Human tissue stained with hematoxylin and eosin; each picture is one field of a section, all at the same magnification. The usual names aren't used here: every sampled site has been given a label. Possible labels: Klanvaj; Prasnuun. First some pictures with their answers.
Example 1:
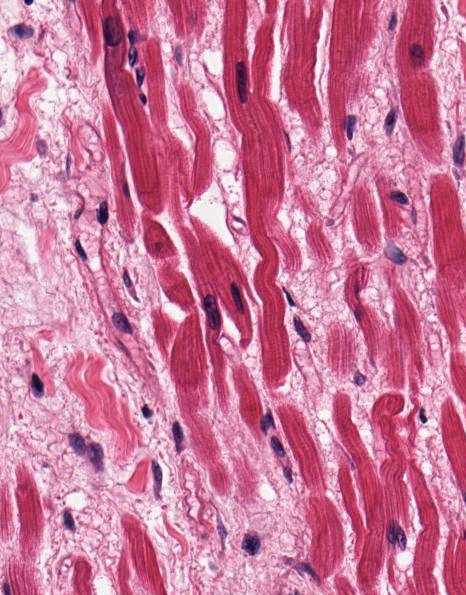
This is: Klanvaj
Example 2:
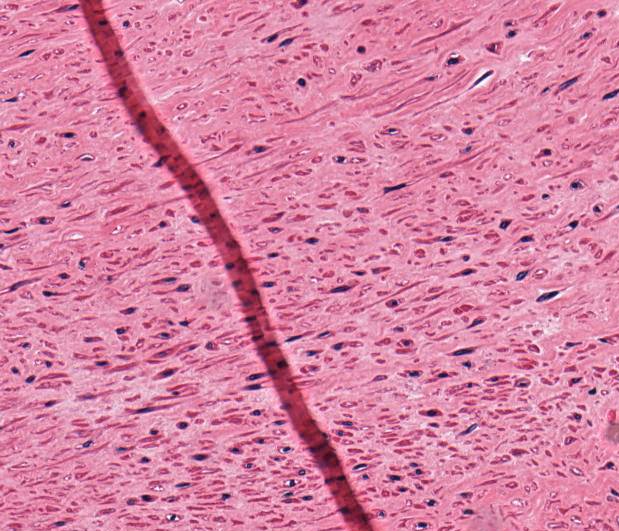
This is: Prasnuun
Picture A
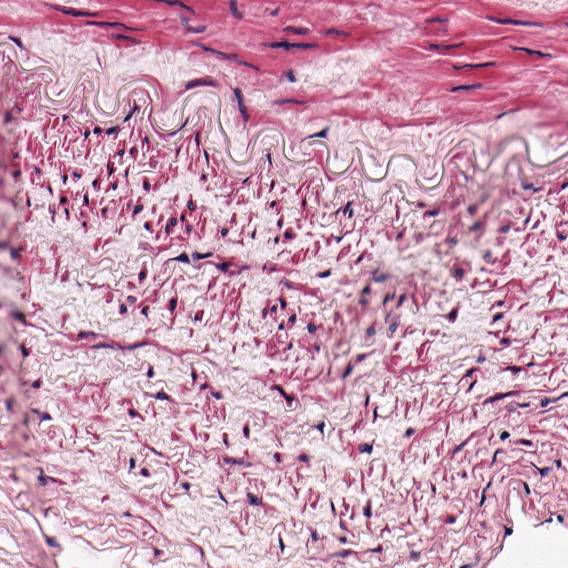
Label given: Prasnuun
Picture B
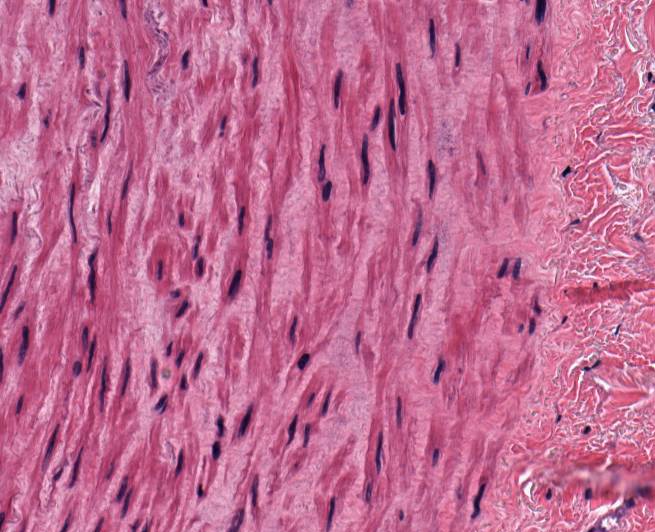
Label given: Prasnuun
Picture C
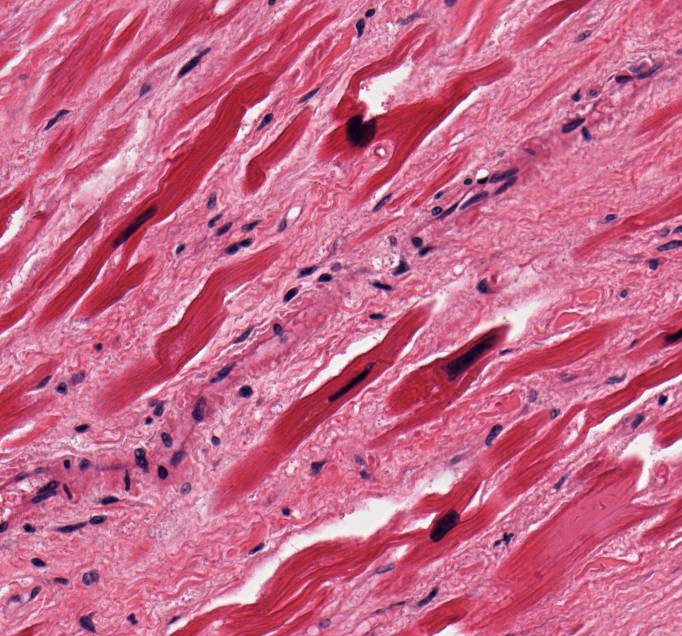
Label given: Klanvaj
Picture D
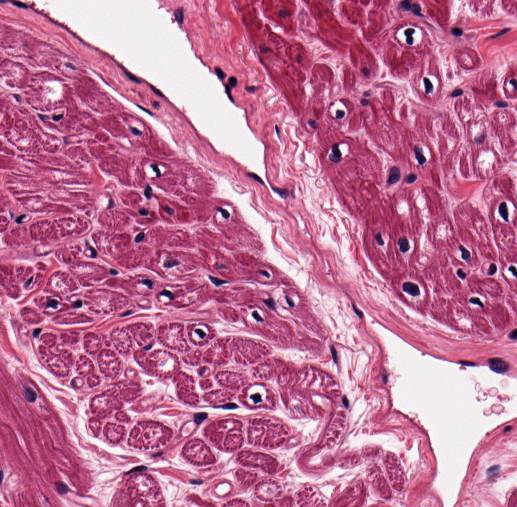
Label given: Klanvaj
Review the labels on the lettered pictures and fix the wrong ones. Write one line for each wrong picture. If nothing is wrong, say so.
Nothing to fix; every label fits.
